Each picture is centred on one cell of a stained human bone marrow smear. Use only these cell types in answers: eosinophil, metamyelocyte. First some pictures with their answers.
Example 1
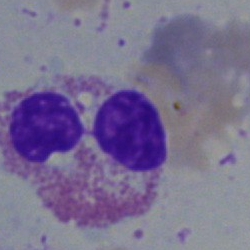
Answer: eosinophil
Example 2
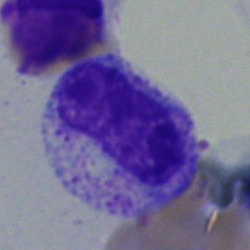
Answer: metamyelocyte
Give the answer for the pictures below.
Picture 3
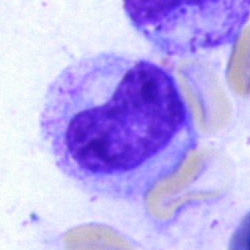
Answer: metamyelocyte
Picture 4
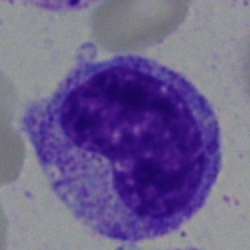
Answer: metamyelocyte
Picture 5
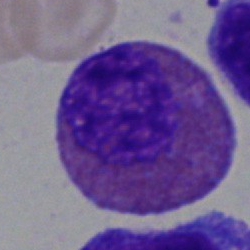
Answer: eosinophil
